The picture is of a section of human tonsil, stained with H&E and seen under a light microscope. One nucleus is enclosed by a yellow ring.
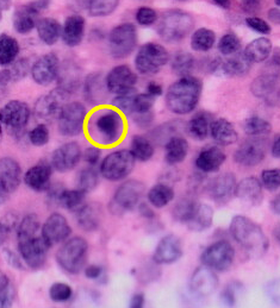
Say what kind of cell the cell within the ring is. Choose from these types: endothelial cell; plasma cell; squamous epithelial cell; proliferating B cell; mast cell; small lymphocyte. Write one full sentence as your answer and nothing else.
On this particular slide, the cell within the ring is a proliferating B cell.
